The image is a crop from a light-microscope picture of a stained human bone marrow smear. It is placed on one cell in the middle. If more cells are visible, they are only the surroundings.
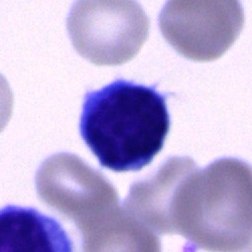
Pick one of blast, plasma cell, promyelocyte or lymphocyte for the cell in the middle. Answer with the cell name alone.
lymphocyte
